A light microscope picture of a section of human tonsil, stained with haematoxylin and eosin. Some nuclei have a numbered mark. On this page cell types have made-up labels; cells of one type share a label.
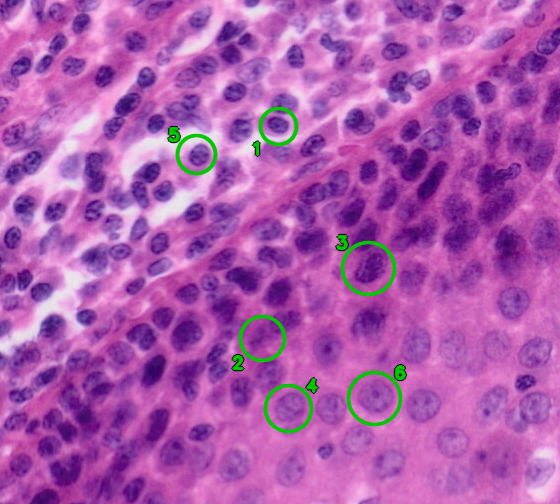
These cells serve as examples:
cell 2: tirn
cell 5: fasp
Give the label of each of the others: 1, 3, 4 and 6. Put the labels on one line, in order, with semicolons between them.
fasp; tirn; tirn; tirn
